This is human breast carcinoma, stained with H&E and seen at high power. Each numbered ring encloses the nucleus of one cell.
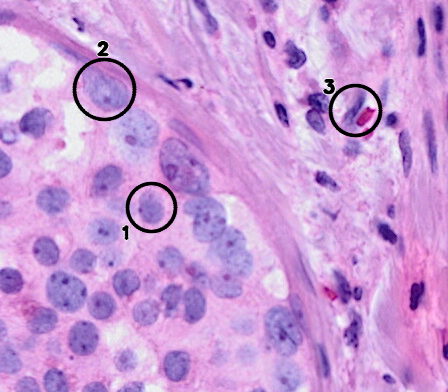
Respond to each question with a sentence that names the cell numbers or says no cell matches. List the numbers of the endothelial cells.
Cell 3, and no other numbered cell, is an endothelial cell.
